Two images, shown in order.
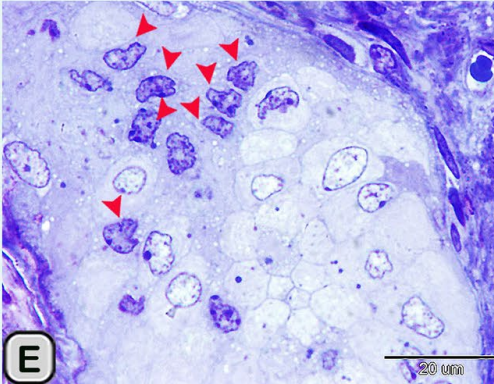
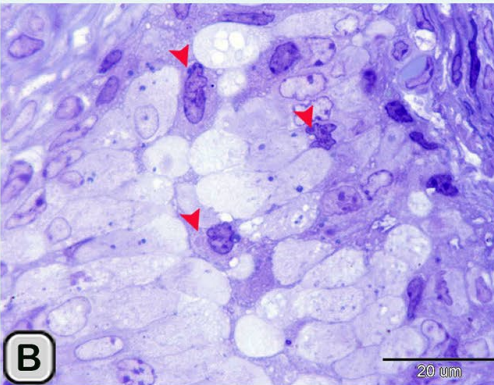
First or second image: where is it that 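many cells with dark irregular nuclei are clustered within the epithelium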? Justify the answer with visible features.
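First image: a cluster of several cells with dark lobulated nuclei lies among the pale epithelial cells. Second image: only a few scattered cells with dark irregular nuclei are seen in the epithelium.
The first image.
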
